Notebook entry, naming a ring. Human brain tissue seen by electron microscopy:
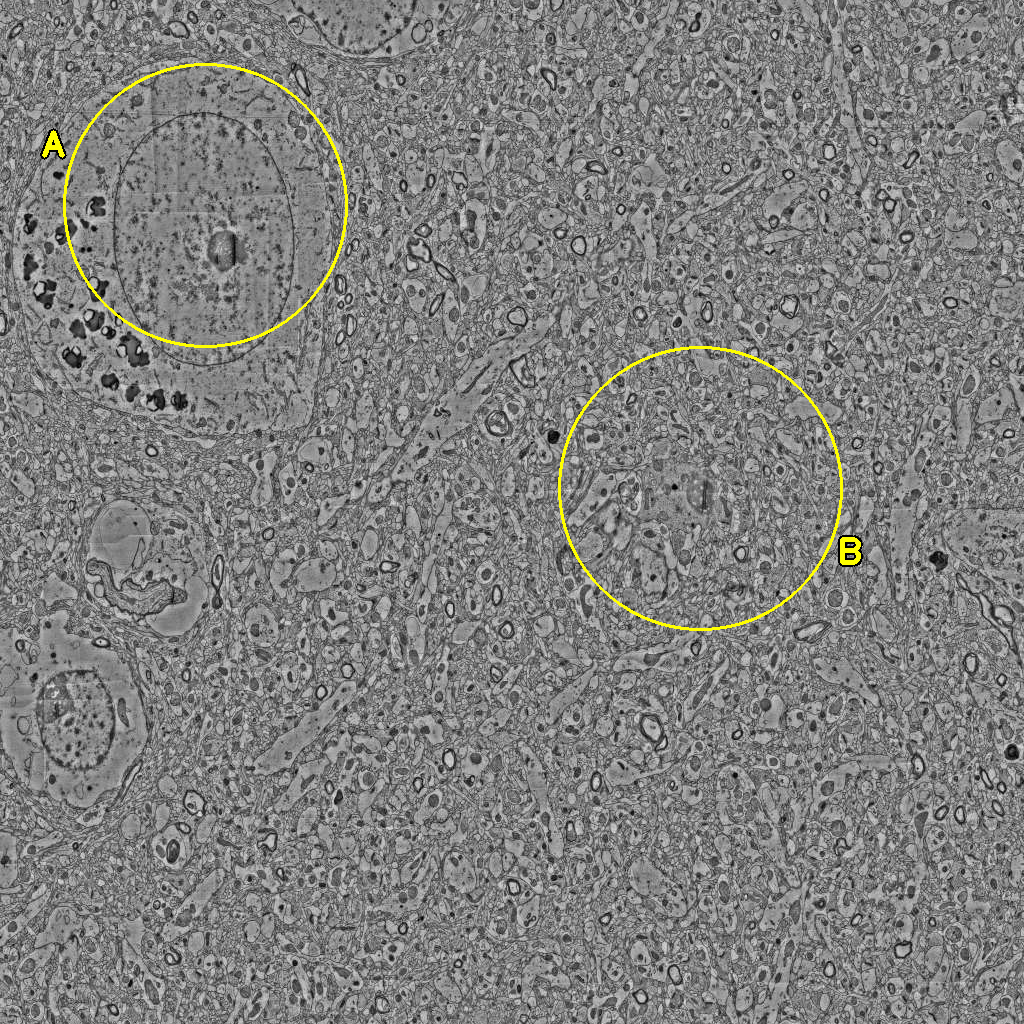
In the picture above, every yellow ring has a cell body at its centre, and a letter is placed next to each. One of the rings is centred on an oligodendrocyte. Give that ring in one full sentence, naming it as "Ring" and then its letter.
Ring B is the ring whose centre holds the cell asked for.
